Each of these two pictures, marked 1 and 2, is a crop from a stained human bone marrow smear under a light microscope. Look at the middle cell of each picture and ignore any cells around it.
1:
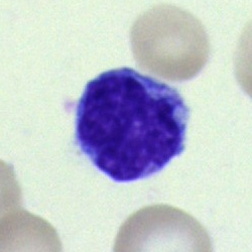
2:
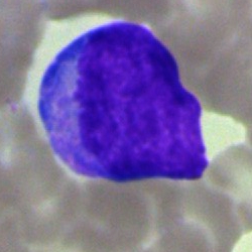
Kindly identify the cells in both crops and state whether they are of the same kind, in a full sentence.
No, crop 1 is where a lymphocyte is, and crop 2 is where a blast is.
